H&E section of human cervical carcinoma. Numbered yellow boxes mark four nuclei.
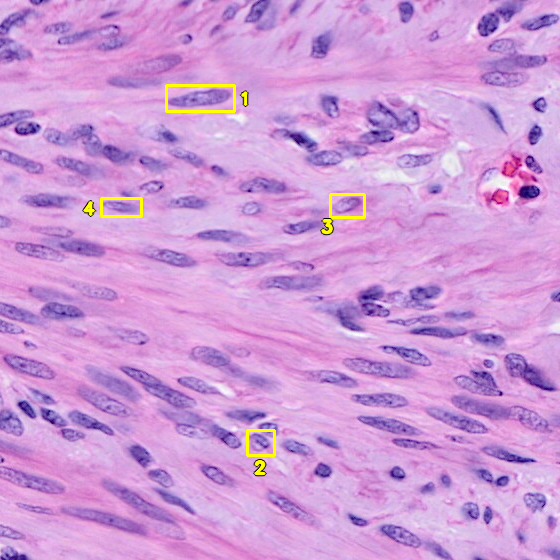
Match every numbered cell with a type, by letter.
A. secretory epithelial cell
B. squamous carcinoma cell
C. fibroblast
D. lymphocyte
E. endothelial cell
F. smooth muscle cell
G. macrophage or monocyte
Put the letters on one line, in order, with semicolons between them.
C; F; F; F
